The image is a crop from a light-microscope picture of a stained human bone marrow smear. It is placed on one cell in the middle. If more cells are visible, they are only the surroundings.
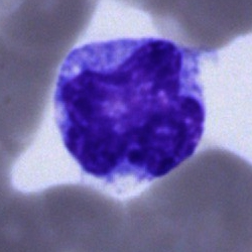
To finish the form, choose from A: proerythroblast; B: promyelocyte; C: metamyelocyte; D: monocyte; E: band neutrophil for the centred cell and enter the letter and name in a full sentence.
In the middle of the crop is a monocyte; option D is therefore correct.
